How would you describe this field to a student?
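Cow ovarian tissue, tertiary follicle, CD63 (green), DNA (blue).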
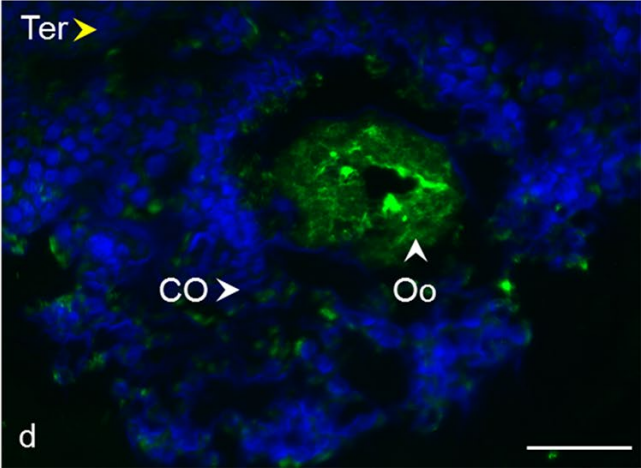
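A round oocyte sits in the middle, with its cytoplasm filled by a fine green network and brighter green clumps near its centre. No blue nucleus shows in this plane of the oocyte. Around it lie several layers of small, closely packed cumulus cells. Their round blue nuclei are tightly crowded and they show only scattered green dots.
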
